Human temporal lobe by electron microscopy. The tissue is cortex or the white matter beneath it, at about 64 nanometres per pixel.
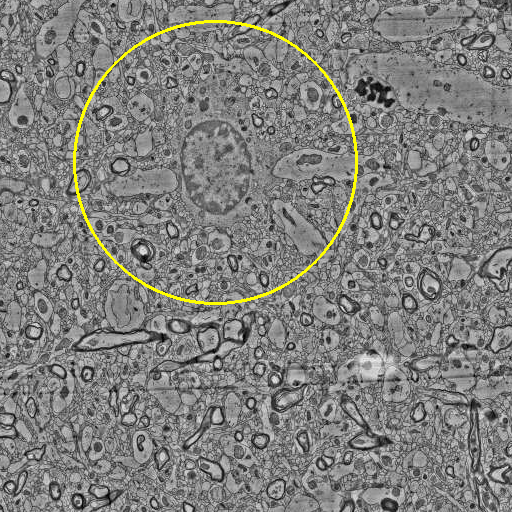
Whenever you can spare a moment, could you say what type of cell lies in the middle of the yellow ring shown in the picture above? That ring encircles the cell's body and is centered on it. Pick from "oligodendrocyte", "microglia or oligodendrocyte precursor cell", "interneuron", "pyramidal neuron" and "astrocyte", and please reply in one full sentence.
The cell whose body sits at the middle of the yellow ring is an oligodendrocyte.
